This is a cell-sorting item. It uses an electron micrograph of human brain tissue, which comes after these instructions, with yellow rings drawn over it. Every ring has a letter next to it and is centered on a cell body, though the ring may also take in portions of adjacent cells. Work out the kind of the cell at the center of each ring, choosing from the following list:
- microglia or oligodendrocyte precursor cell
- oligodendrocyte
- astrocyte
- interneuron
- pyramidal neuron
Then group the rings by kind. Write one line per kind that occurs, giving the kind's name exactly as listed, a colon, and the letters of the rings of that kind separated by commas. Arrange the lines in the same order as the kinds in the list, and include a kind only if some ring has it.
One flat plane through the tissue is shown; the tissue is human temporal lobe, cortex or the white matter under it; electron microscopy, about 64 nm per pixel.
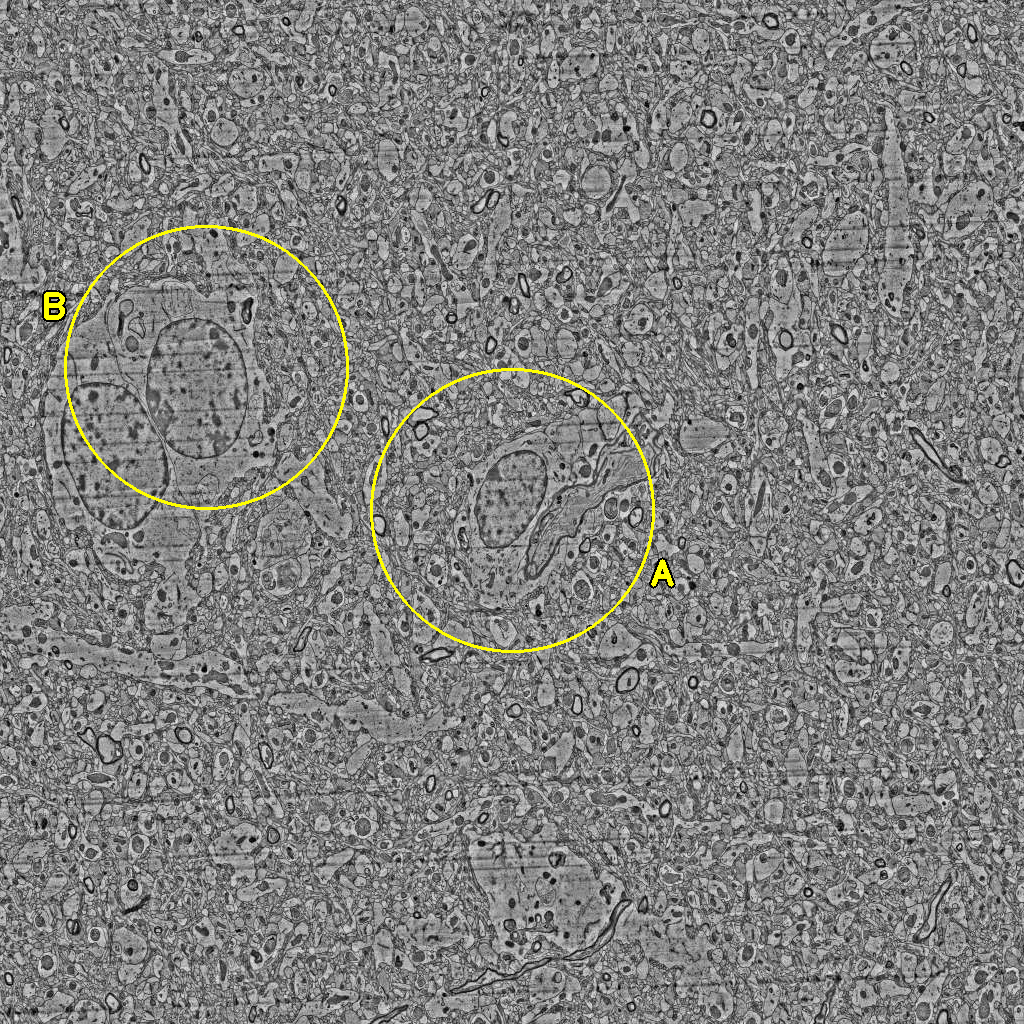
microglia or oligodendrocyte precursor cell: A
astrocyte: B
